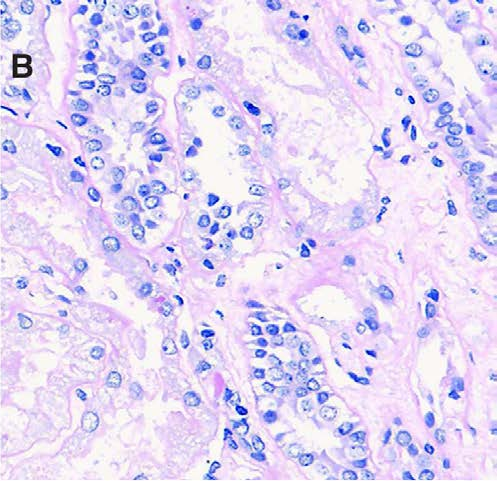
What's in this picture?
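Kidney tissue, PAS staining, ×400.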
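Renal tubules cut in cross and oblique section, lined by epithelial cells with pale, vacuolated pink cytoplasm, set in a loose pale pink interstitium. The luminal surfaces lack a distinct pink brush border, and some epithelial cells appear lifted off and loose within the lumens. In several tubules the blue nuclei are enlarged, round to oval with small nucleoli, and crowded so that they seem stacked in more than one layer. Thin pink basement membranes outline the tubules. Scattered small dark nuclei lie in the interstitium. No crystal-like structures are visible.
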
